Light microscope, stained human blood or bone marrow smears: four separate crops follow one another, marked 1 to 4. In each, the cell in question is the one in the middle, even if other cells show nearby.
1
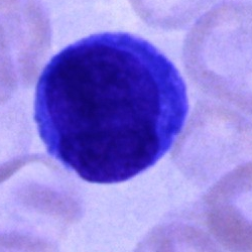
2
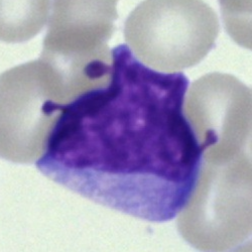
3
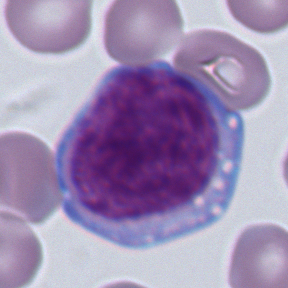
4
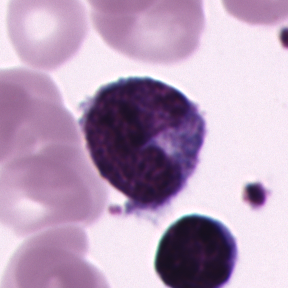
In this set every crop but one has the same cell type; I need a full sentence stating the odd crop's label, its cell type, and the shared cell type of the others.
Every crop but one shows blasts; the exception, crop 4, shows a monocyte.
